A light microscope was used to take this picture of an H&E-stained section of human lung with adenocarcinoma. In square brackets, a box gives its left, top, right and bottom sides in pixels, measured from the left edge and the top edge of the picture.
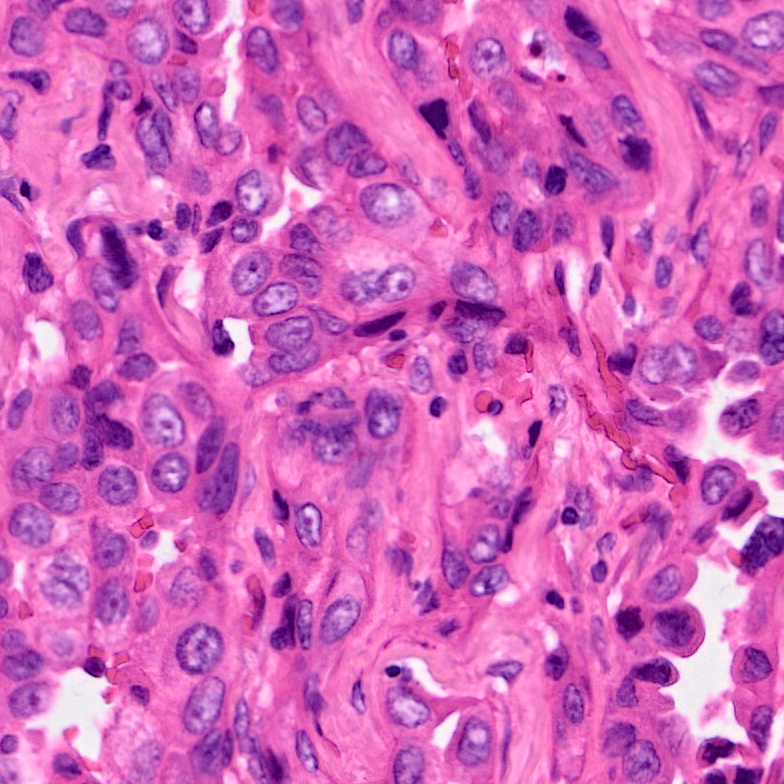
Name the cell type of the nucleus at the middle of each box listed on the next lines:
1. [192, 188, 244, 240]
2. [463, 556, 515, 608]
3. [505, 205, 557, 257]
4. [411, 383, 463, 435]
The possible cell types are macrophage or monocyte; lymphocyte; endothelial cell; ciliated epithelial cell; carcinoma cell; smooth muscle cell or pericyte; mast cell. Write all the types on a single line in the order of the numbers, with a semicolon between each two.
carcinoma cell; carcinoma cell; carcinoma cell; lymphocyte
